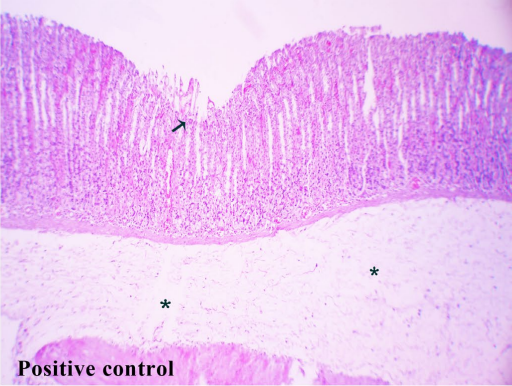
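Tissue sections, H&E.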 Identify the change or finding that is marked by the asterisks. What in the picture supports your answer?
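The layer beneath the glandular mucosa is broad and very pale. Its connective tissue is loose and widely separated, with few cells. On this evidence: submucosal edema.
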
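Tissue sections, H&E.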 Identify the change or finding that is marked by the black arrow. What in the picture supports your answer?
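The mucosal surface dips into a V-shaped defect at the arrow. The glands at the defect are disrupted and separated.
Conclusion: mucosal damage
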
